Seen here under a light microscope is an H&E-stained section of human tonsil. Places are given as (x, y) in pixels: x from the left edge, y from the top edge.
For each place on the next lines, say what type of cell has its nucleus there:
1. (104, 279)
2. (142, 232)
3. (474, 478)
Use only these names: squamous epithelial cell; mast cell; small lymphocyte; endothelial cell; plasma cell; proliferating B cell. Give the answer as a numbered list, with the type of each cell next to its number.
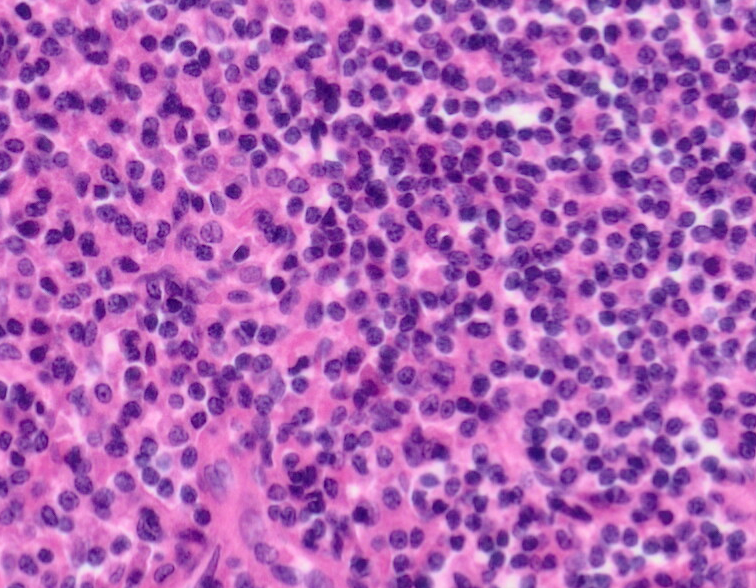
1. plasma cell
2. plasma cell
3. small lymphocyte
